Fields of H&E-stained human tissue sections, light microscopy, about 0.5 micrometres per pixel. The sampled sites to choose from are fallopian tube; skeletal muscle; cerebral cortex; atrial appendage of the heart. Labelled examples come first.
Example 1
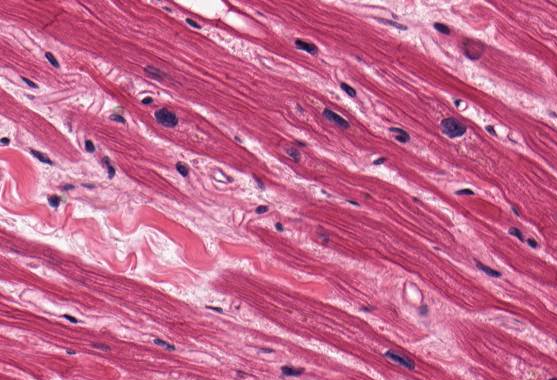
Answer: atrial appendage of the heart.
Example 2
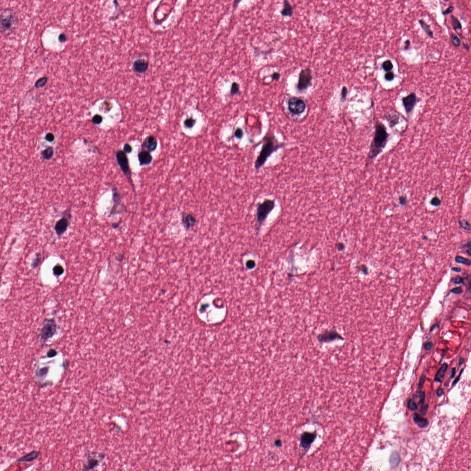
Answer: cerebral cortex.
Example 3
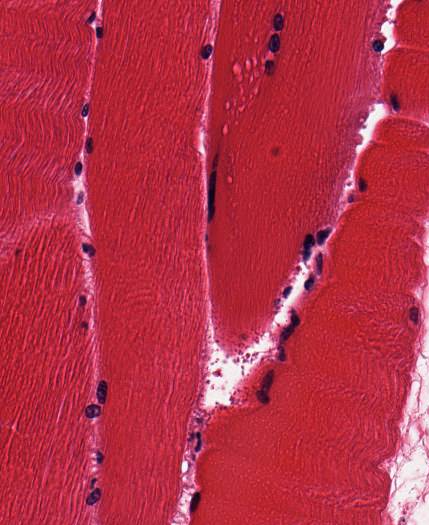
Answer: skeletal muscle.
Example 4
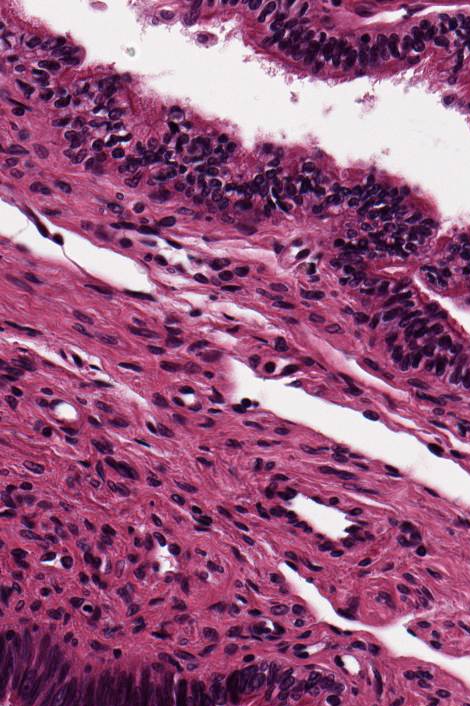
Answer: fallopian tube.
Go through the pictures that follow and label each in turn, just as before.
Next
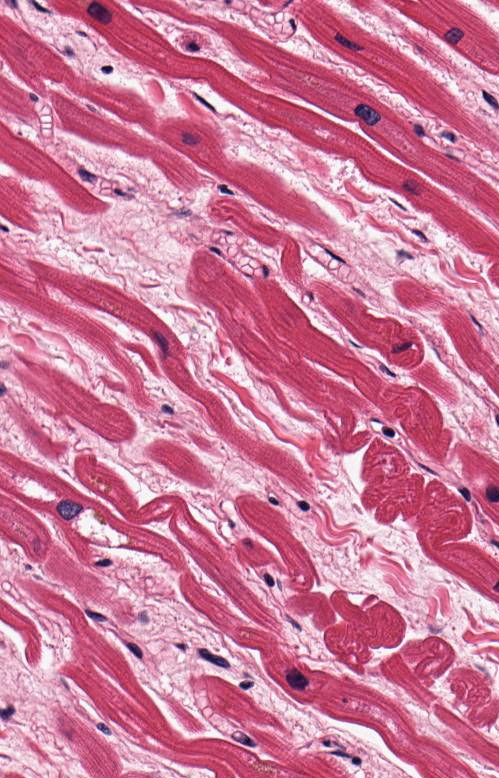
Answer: atrial appendage of the heart.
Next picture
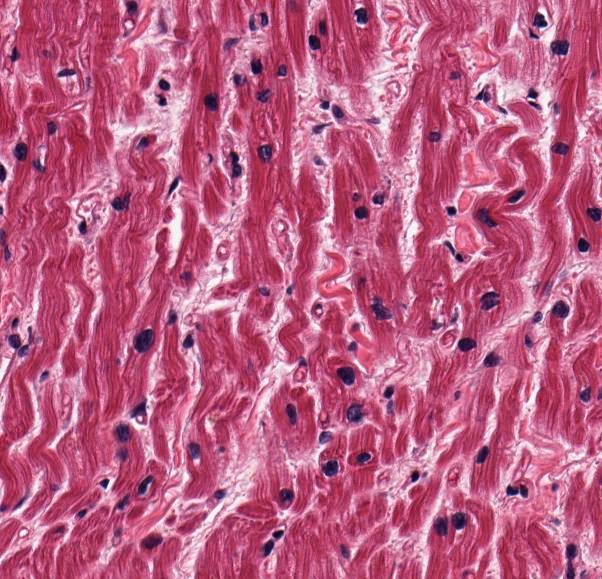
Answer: atrial appendage of the heart.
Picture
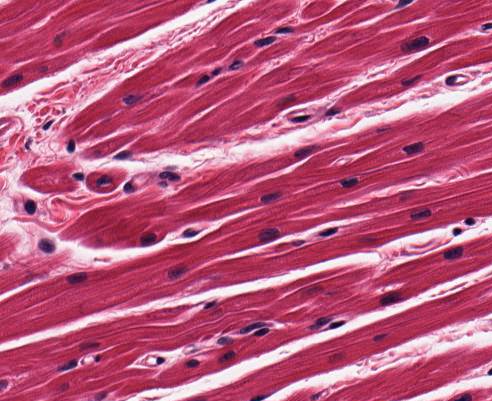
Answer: atrial appendage of the heart.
